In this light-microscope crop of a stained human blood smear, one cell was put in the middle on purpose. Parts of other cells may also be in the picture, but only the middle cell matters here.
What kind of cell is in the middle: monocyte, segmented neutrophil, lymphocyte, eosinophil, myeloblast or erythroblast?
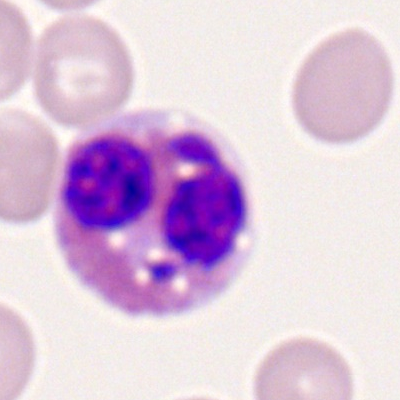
eosinophil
